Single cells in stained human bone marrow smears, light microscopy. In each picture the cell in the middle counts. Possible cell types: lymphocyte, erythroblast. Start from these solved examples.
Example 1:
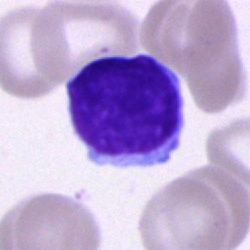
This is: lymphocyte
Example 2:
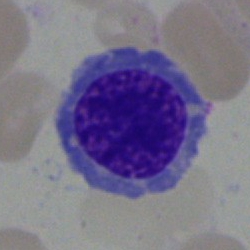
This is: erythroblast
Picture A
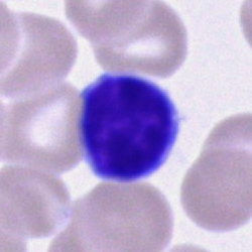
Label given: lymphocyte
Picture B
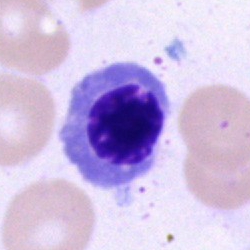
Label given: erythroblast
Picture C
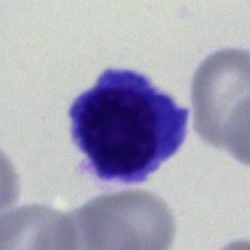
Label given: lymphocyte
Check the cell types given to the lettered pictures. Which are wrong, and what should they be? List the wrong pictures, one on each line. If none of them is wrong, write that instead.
C is labelled lymphocyte; correct label: erythroblast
